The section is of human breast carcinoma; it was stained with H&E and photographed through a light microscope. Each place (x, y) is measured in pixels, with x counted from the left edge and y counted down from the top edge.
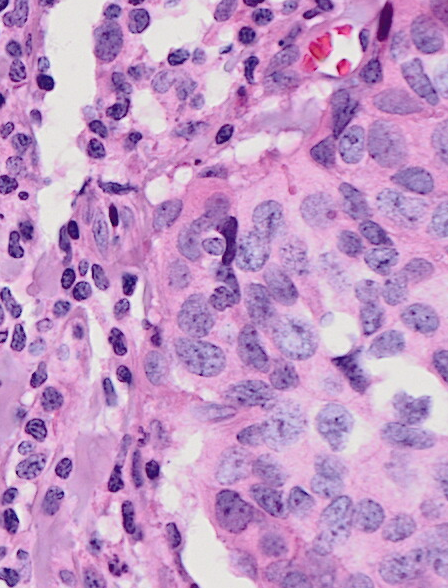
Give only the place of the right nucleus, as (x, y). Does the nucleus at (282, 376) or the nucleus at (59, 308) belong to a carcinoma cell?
(282, 376)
